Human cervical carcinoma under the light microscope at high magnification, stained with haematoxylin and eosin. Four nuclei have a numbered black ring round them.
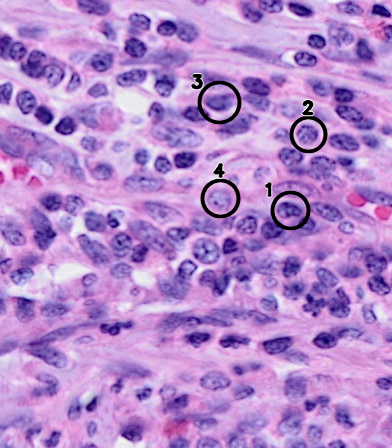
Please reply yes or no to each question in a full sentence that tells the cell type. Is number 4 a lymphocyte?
No, the cell under number 4 is an endothelial cell, not a lymphocyte.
